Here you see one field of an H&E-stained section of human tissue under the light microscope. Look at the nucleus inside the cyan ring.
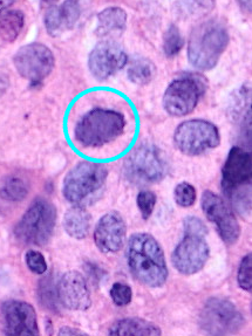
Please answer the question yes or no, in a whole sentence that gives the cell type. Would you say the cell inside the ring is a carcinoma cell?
Yes, in terms of cell type, the cell inside the ring is a carcinoma cell.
